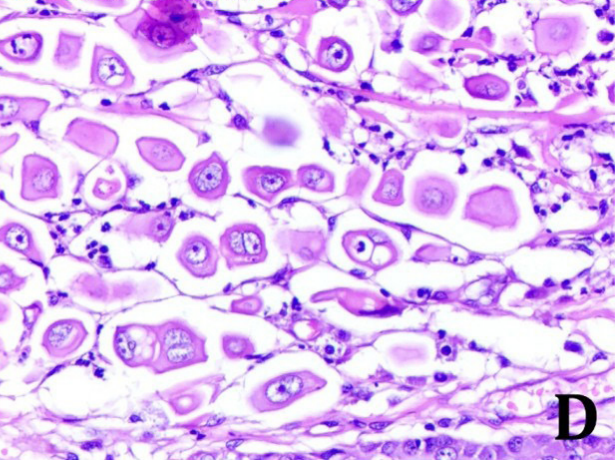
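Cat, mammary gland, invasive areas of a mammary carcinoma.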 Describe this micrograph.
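These are large, discohesive tumour cells scattered through the stroma, often lined up in loose rows between thin fibres and small dark stromal nuclei. Each tumour cell has plentiful glassy pink cytoplasm, and many are surrounded by a clear halo. The nuclei are large, with distinct nucleoli, and some cells carry two or more nuclei. The cells differ strikingly from one another in size.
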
